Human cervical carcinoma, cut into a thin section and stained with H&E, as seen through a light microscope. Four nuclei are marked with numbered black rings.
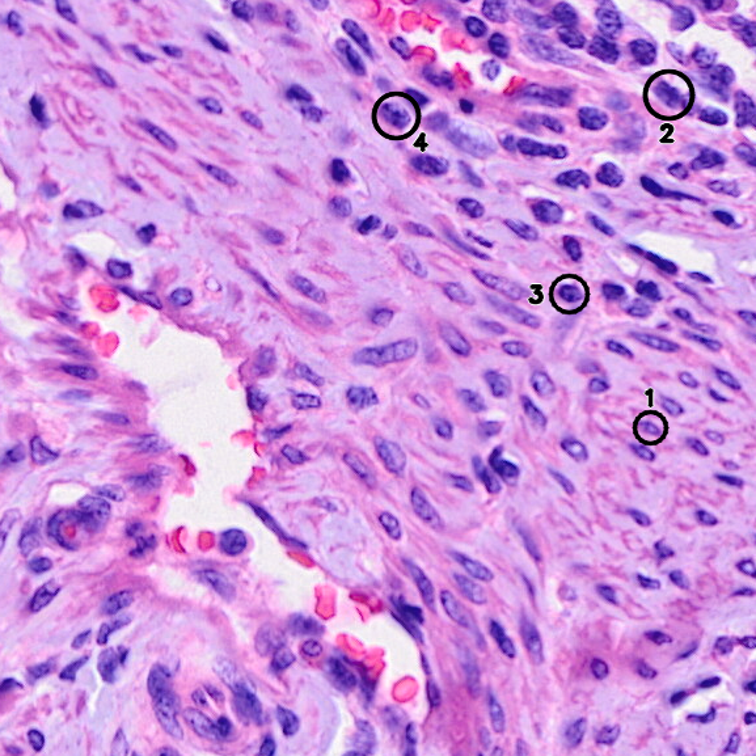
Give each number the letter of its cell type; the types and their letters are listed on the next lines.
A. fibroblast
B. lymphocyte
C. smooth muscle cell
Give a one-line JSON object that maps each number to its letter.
{"1": "C", "2": "B", "3": "B", "4": "B"}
